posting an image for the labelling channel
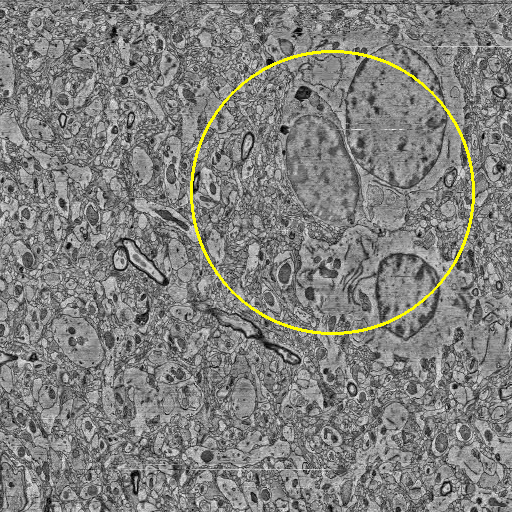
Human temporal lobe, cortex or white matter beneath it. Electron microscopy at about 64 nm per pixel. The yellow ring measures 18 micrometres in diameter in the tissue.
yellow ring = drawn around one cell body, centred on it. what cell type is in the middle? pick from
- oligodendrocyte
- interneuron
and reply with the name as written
oligodendrocyte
